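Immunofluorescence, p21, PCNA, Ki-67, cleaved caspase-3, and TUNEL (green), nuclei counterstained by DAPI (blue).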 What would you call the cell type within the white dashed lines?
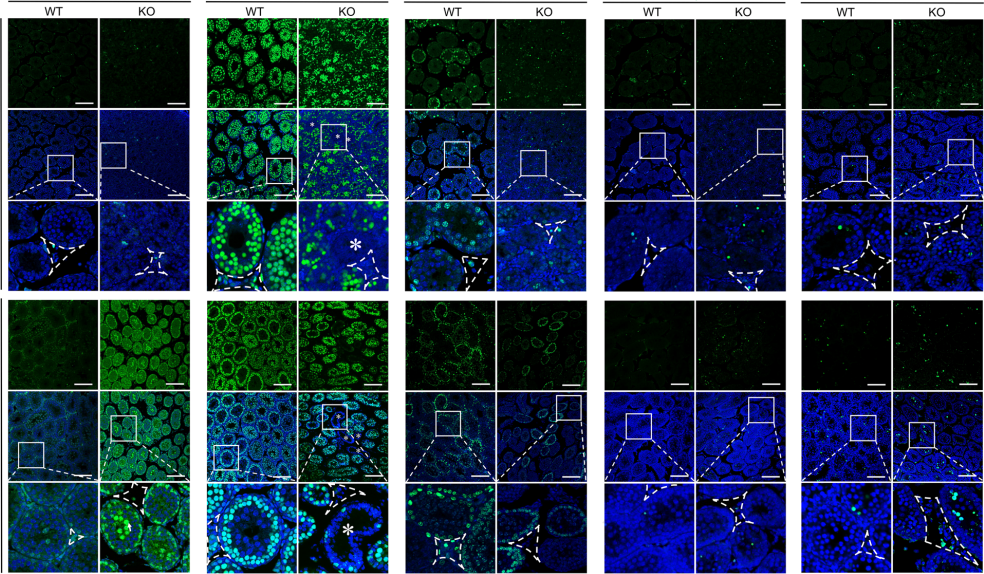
Leydig cells.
